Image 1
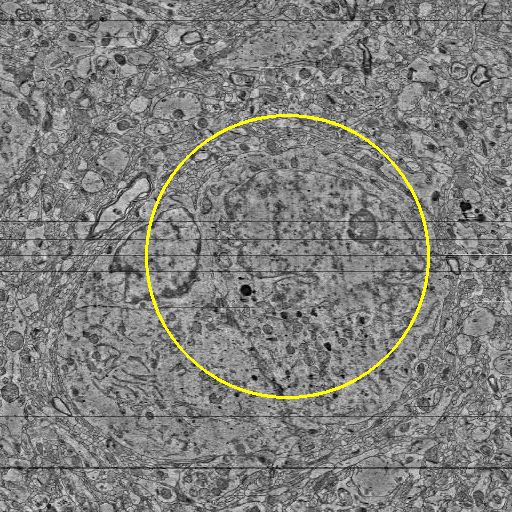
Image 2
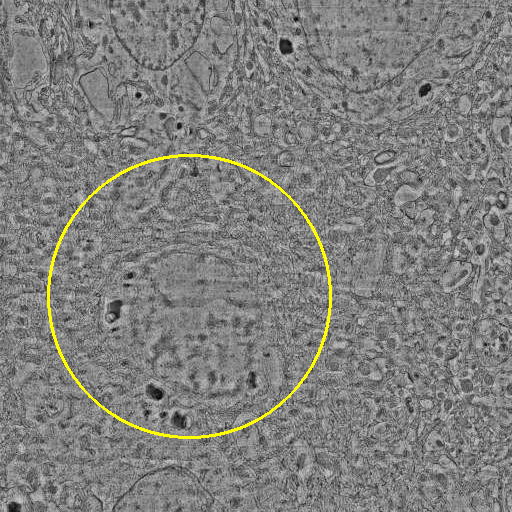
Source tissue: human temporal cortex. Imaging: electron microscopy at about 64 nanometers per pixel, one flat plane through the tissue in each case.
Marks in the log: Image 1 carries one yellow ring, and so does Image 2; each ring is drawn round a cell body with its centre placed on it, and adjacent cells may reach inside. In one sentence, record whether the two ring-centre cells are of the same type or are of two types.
The two cells at the ring centres, one in each image, are of the same type.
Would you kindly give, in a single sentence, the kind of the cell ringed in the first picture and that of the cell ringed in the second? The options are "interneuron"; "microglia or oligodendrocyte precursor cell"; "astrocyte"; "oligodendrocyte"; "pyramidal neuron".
Both cells are the same kind, each one being an interneuron.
